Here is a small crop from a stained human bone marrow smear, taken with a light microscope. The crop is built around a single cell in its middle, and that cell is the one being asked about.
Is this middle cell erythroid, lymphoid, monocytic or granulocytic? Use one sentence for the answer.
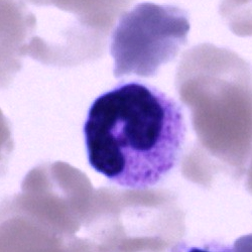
The lineage to which the central cell belongs is granulocytic.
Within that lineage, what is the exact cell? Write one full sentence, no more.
Here the cell in the middle is a segmented neutrophil.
